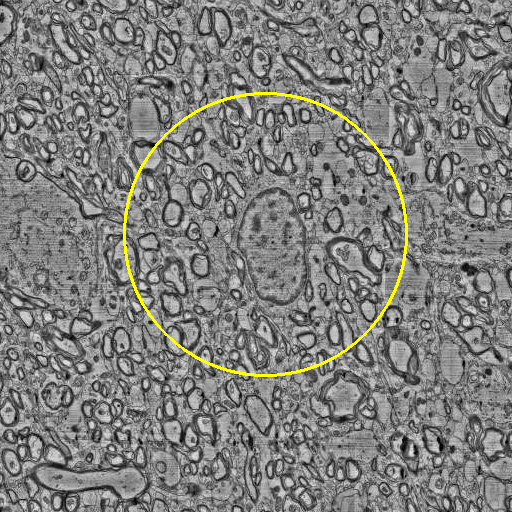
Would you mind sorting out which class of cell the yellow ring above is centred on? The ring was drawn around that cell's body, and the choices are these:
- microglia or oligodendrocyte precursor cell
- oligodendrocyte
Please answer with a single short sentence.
This is the cell body of an oligodendrocyte.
